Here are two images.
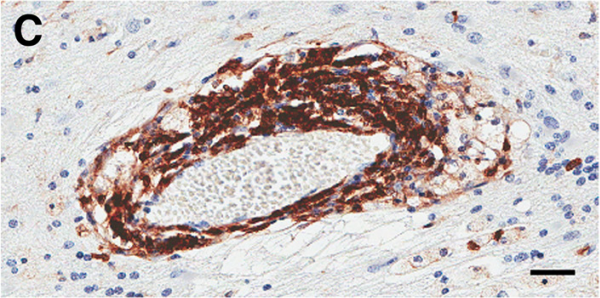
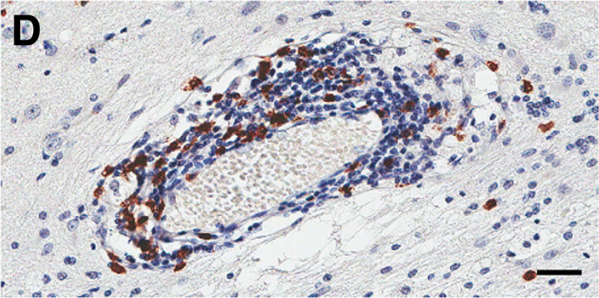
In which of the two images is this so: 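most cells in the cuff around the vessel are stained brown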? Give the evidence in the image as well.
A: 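Second image: the cuff around the vessel is mostly blue nuclei with scattered brown cells. First image: the cuff around the vessel is densely and almost wholly brown. On this evidence: the first image.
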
